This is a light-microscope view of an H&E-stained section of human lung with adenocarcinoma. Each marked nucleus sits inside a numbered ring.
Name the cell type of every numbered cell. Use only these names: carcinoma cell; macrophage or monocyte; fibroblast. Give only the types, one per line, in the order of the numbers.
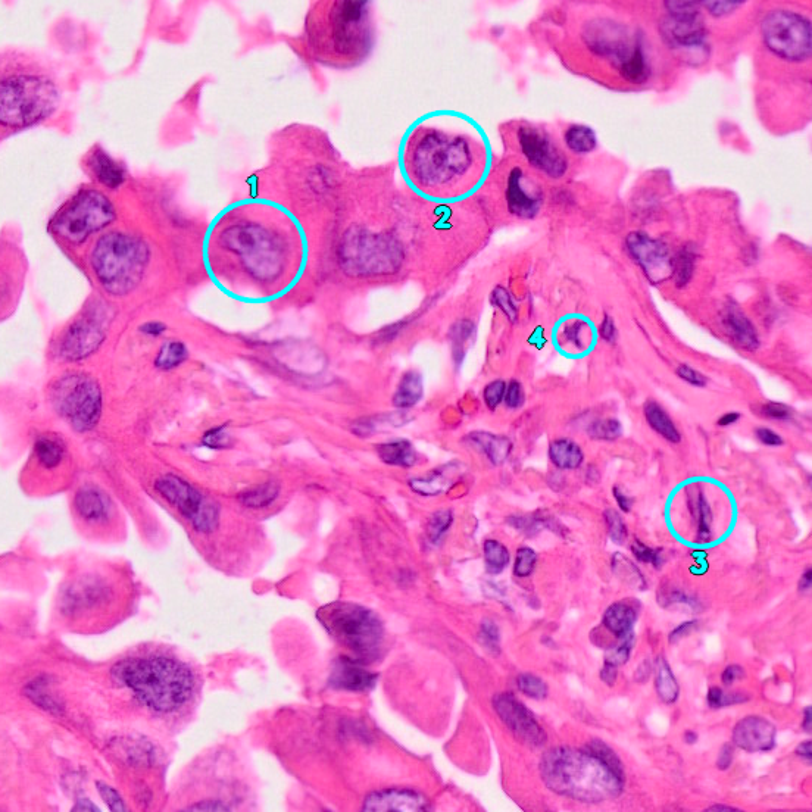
carcinoma cell
carcinoma cell
fibroblast
fibroblast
